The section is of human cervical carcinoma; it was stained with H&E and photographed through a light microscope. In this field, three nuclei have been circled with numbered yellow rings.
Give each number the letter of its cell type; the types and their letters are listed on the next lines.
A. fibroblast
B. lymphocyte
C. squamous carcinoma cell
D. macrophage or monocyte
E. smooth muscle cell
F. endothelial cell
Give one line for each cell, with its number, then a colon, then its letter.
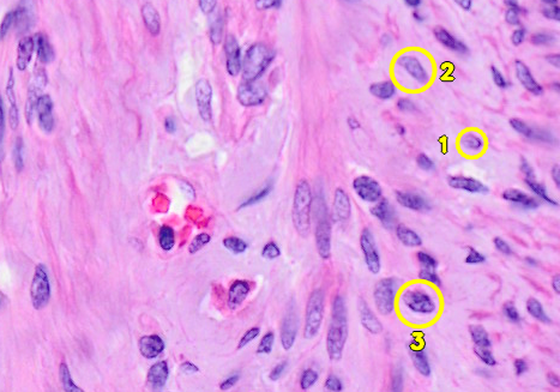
1: E
2: E
3: B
